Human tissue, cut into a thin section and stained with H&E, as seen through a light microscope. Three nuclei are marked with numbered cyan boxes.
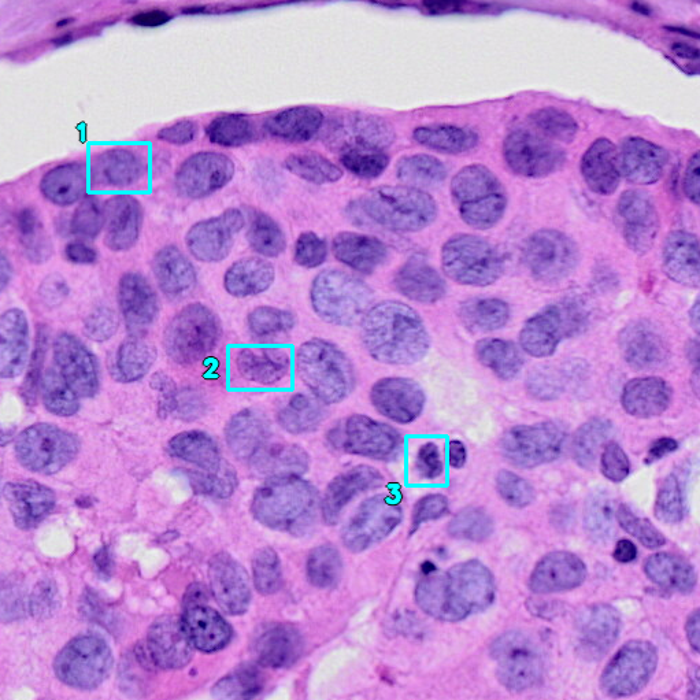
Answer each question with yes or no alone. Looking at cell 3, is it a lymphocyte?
yes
